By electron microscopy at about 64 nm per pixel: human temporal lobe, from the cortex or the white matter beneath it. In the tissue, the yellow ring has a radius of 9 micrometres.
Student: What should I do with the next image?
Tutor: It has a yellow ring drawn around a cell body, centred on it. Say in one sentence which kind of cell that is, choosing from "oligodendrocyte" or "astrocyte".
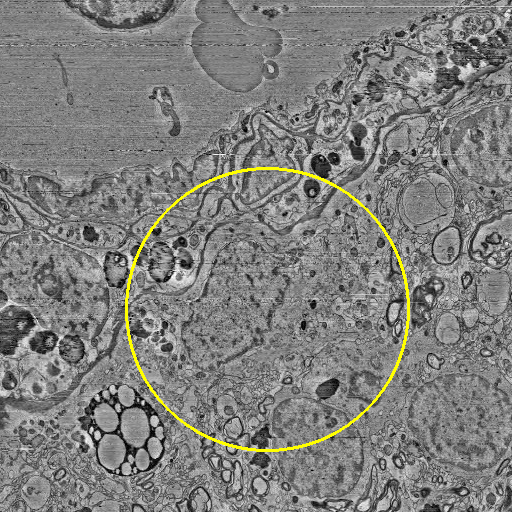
The ring's centre is occupied by an astrocyte.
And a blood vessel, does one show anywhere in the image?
Yes, one is visible.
